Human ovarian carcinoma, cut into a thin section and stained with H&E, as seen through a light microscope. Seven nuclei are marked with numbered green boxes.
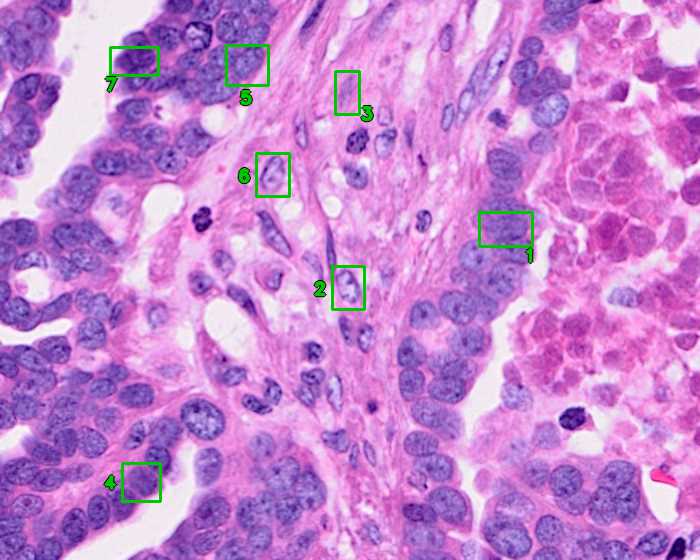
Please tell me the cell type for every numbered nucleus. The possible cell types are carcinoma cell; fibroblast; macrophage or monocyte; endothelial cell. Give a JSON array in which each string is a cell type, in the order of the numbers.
["carcinoma cell", "fibroblast", "fibroblast", "carcinoma cell", "carcinoma cell", "fibroblast", "carcinoma cell"]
